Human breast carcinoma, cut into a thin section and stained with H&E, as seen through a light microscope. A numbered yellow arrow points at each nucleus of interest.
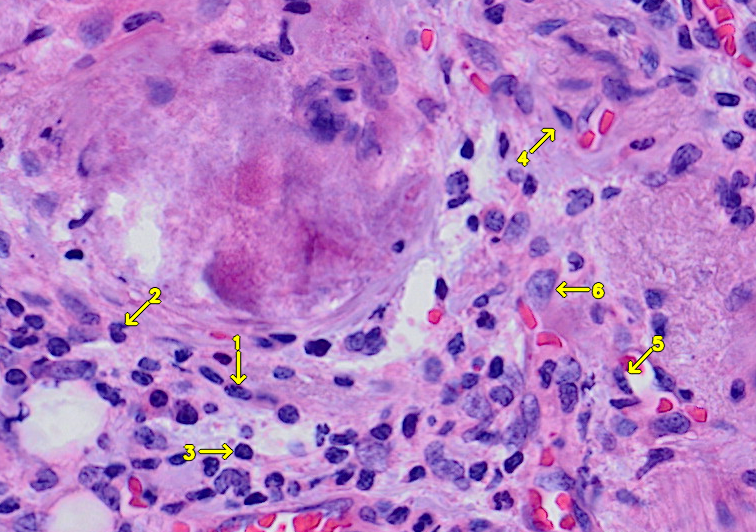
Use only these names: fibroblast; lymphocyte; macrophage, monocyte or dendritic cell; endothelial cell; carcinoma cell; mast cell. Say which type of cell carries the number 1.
lymphocyte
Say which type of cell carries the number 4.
endothelial cell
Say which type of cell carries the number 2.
lymphocyte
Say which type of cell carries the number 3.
lymphocyte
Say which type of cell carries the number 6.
endothelial cell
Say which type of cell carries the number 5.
endothelial cell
